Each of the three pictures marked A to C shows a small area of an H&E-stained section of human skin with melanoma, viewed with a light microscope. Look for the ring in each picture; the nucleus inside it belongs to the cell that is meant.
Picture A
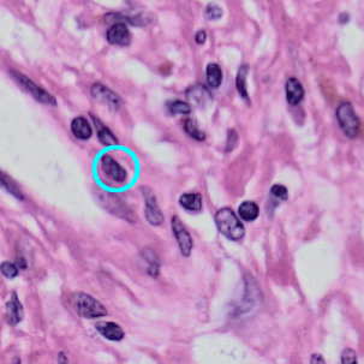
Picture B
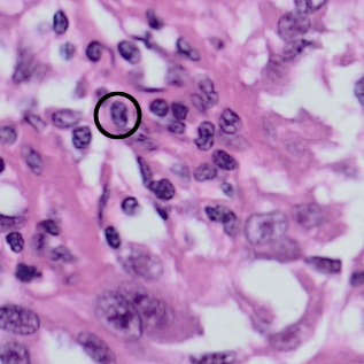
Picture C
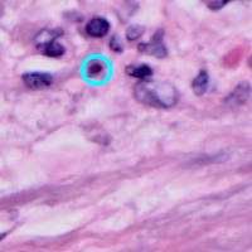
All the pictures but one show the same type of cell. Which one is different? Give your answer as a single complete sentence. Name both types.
Unlike the rest, which show lymphocytes, picture C shows a plasma cell.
